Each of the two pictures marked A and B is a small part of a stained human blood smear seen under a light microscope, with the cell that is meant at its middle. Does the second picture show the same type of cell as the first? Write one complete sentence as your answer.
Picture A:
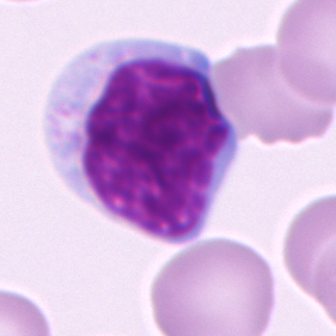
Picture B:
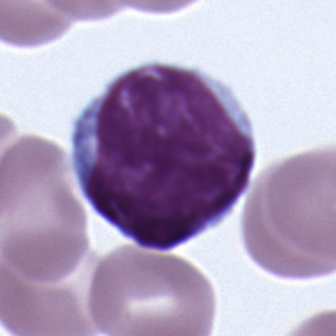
Yes, both are typical lymphocytes.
